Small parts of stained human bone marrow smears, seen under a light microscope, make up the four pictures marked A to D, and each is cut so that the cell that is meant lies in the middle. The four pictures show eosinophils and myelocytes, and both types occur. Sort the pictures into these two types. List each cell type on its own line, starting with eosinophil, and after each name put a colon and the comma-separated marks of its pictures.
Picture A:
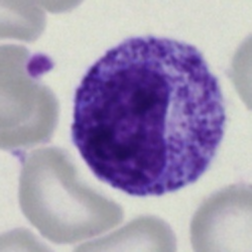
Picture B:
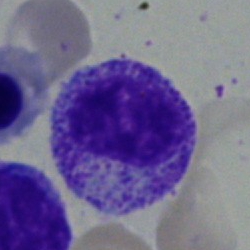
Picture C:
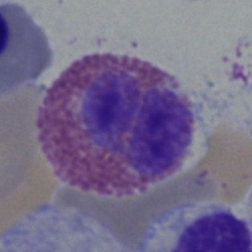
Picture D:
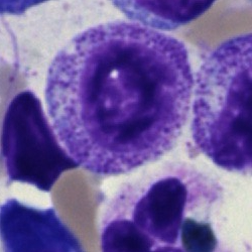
eosinophil: C
myelocyte: A, B, D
